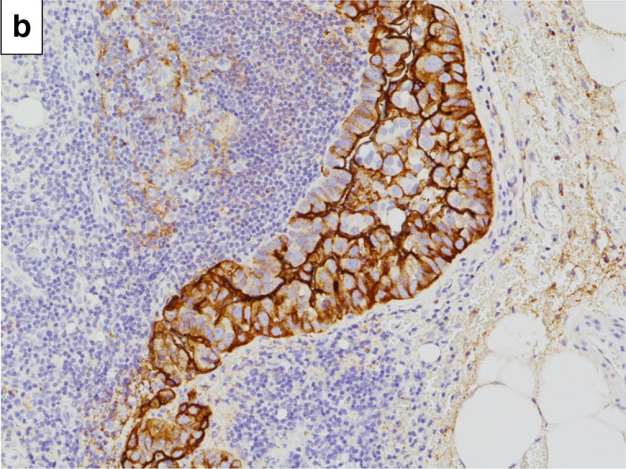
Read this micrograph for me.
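Lymph node with a band of tumor cells lying against a lymphoid follicle of small, round, dark-nucleated lymphocytes. The tumor cells are large and polygonal with pale, larger nuclei and are outlined by strong brown membrane stain, giving a honeycomb pattern. The surrounding lymphocytes are unstained, and fat cells and loose fibrous tissue lie at the lower right.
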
